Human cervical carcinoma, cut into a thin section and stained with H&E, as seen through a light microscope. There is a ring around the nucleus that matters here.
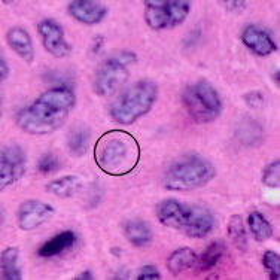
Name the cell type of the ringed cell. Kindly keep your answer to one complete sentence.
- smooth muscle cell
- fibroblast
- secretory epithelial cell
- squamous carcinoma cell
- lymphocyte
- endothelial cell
For the purposes of cell typing, the ringed cell is categorized as a squamous carcinoma cell.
